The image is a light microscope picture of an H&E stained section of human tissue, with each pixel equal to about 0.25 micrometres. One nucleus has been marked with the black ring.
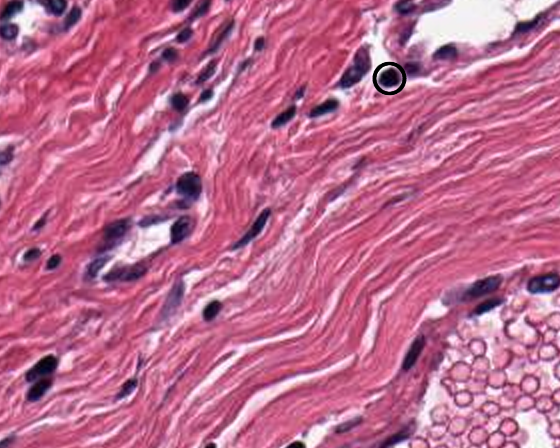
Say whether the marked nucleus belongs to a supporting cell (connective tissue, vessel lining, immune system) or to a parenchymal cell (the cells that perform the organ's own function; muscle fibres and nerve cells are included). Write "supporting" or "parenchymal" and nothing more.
supporting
